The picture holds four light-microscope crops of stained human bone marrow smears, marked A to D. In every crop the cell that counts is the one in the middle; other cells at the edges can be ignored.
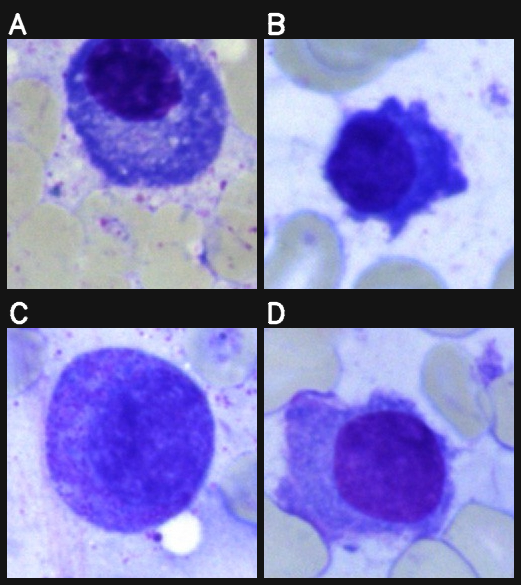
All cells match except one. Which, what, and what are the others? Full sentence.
Crop C is the one to flag: it is a promyelocyte, and the rest show plasma cells.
